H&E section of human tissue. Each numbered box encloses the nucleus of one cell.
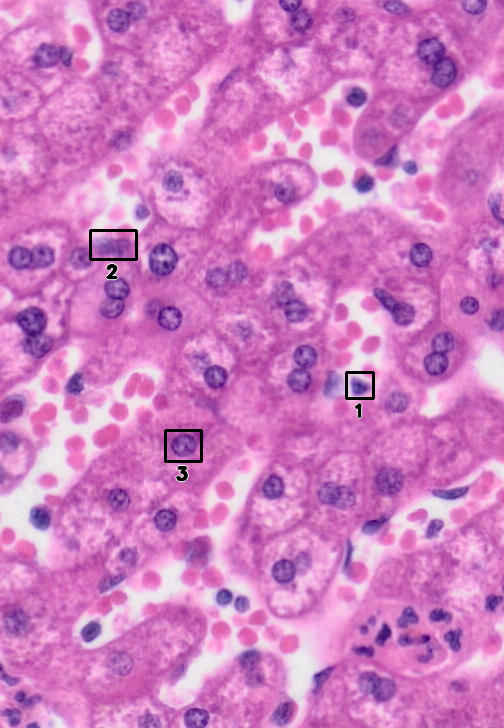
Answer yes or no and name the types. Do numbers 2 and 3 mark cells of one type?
No, cell number 2 is an endothelial cell, and cell number 3 is a hepatocyte.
